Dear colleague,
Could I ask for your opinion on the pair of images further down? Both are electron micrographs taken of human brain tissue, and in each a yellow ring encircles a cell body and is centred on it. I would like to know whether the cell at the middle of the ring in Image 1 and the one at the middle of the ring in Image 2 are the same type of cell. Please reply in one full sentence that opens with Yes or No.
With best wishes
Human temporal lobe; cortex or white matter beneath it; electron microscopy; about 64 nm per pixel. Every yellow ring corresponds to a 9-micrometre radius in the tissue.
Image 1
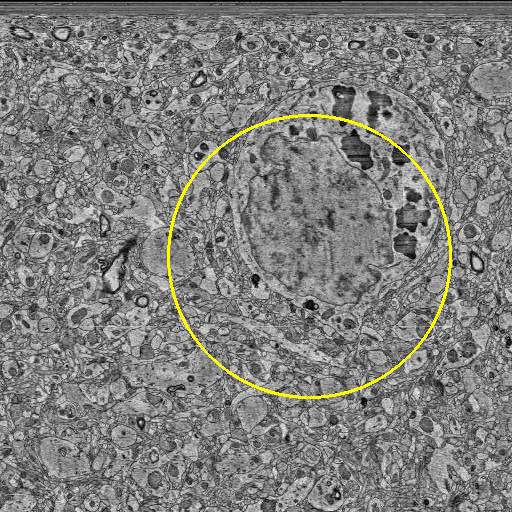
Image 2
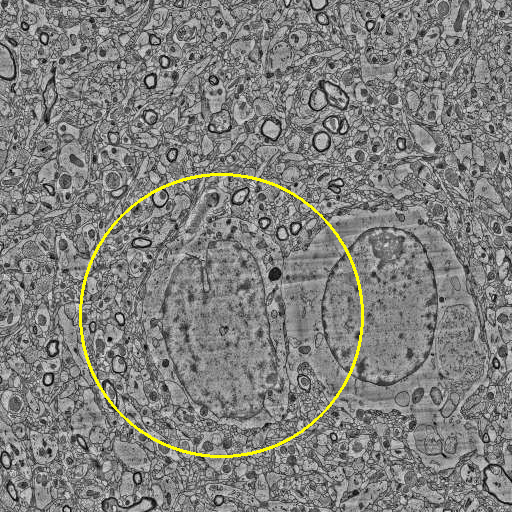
Yes, the cells at the ring centres in Image 1 and Image 2 are of one type.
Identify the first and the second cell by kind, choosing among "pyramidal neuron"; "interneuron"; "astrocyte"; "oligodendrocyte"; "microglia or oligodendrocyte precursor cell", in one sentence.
The ring centre holds an interneuron in each of the two pictures.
